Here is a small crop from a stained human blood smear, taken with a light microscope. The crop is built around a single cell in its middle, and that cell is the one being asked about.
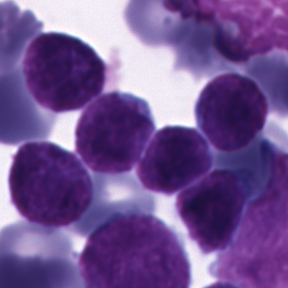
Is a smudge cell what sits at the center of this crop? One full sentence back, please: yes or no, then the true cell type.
No, the cell in the middle of the field is a myeloblast, not a smudge cell as suggested.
